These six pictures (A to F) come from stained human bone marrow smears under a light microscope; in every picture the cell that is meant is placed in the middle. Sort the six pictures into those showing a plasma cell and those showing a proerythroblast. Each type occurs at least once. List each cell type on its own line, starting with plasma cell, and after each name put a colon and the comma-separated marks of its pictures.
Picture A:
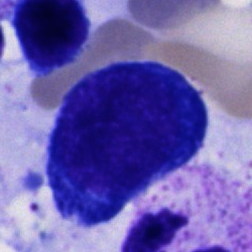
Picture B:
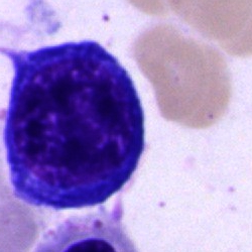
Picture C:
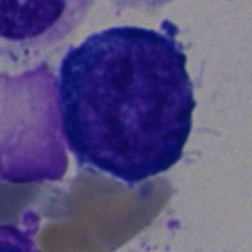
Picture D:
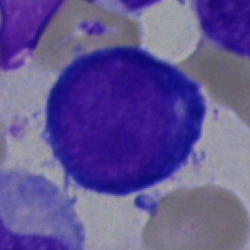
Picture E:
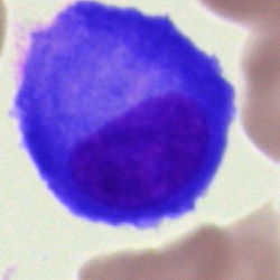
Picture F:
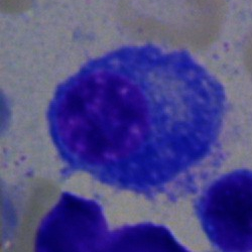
plasma cell: E, F
proerythroblast: A, B, C, D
